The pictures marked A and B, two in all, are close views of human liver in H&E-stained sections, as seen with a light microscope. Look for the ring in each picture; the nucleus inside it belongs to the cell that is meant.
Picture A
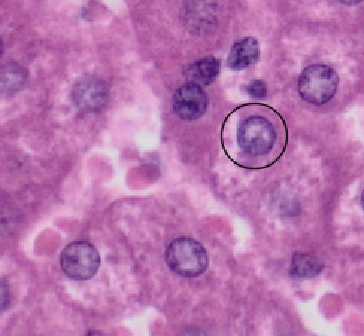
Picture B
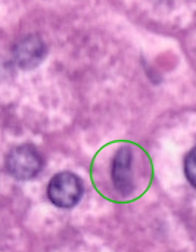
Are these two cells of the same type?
no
